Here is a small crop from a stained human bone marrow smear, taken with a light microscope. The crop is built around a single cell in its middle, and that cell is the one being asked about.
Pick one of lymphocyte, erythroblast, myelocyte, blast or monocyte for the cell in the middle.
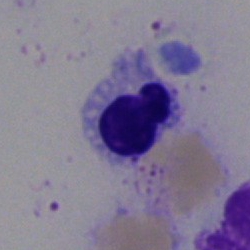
erythroblast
